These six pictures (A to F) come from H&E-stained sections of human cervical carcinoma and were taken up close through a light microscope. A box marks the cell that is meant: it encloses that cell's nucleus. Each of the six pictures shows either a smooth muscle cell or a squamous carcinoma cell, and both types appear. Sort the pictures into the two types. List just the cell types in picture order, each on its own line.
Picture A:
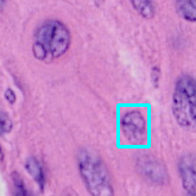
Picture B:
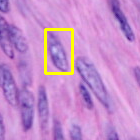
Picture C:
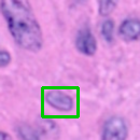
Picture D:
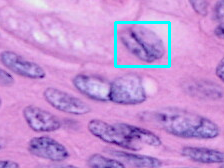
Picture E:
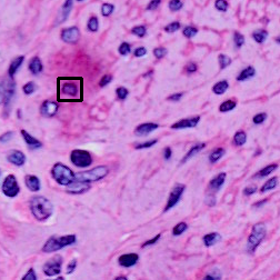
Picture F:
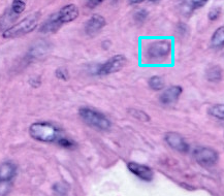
squamous carcinoma cell
smooth muscle cell
squamous carcinoma cell
squamous carcinoma cell
smooth muscle cell
smooth muscle cell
